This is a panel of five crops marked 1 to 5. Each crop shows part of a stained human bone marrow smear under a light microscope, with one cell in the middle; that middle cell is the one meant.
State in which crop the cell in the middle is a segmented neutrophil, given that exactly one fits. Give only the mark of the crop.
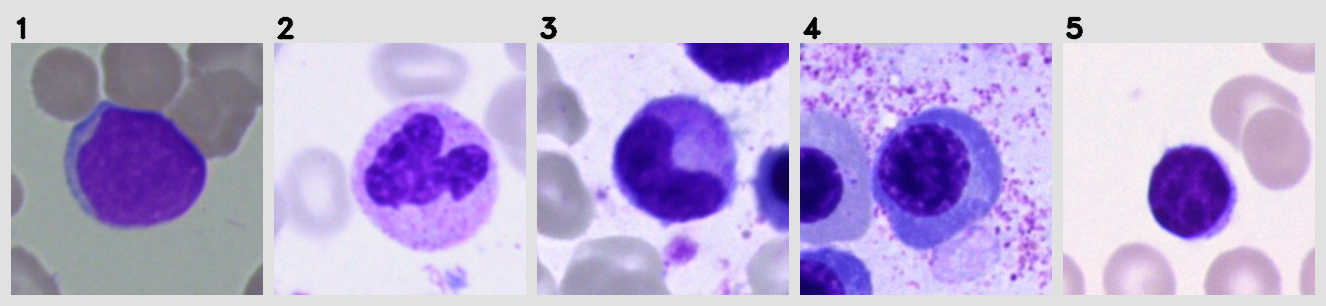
2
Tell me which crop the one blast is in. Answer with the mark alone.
1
